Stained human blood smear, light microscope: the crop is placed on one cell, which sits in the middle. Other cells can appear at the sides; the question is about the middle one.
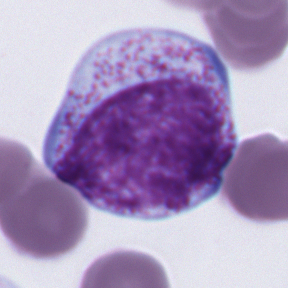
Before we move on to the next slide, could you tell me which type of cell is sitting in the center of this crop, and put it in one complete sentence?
Framed in the middle of the crop is a myelocyte.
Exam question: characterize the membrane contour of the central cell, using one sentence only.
Thanks for asking; the cell edge is smooth and has no projections.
